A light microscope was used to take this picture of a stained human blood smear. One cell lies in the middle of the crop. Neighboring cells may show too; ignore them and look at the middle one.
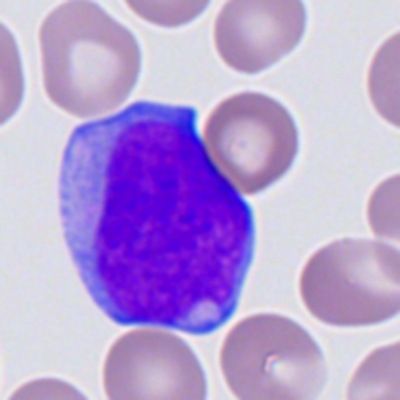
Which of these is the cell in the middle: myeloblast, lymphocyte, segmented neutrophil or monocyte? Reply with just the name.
myeloblast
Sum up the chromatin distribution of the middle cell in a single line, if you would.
The chromatin of this one is coarsely clumped.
